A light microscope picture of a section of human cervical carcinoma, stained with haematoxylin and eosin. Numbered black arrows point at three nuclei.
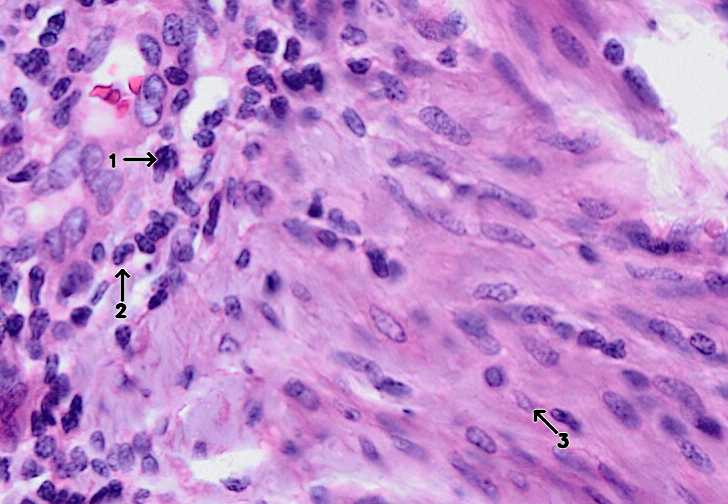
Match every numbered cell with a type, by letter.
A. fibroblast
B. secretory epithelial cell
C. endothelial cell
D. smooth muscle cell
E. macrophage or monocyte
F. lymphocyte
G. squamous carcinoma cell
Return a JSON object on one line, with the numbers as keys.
{"1": "F", "2": "F", "3": "D"}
